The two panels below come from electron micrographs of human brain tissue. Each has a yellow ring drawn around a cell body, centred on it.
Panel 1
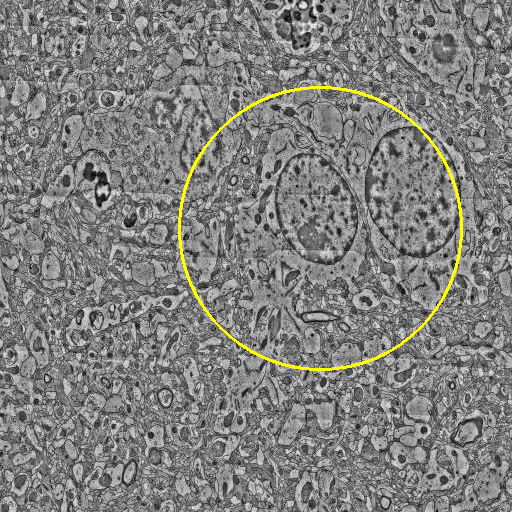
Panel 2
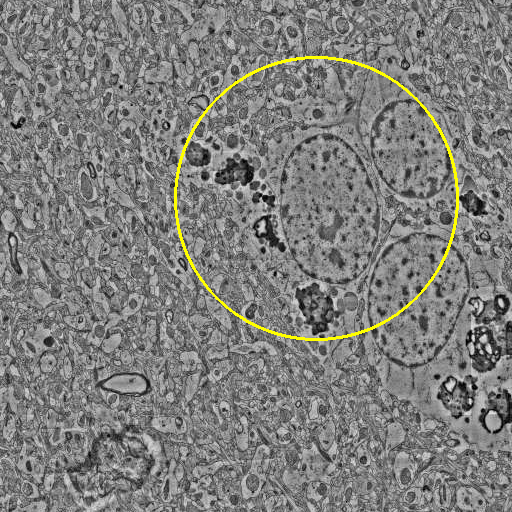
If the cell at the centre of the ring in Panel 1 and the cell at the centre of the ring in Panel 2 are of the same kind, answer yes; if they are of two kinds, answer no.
yes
